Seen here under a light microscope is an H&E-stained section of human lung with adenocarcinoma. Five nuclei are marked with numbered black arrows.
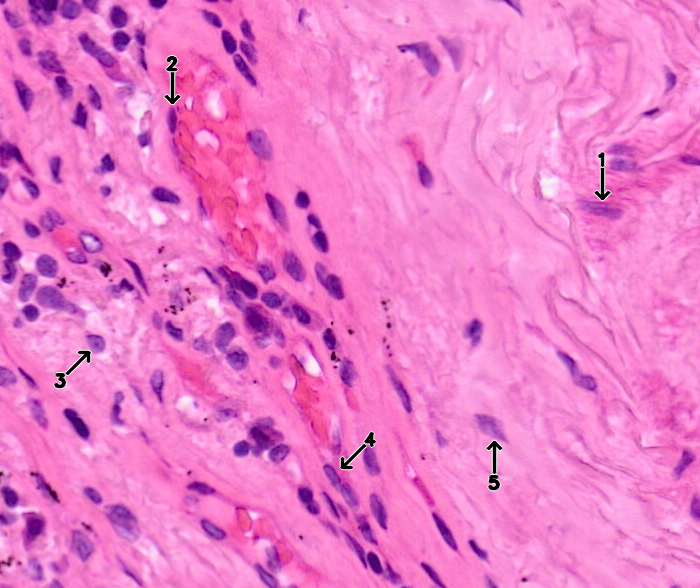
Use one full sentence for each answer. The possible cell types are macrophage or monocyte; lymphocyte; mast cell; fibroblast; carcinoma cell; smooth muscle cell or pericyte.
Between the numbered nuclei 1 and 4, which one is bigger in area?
Number 1 is larger; its area is about 2 times that of number 4.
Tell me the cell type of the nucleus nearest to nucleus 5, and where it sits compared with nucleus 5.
A fibroblast lies closest, to the left of nucleus 5.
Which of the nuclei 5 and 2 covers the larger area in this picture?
Nucleus 5 is larger, with an area about 1.5 times that of nucleus 2.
